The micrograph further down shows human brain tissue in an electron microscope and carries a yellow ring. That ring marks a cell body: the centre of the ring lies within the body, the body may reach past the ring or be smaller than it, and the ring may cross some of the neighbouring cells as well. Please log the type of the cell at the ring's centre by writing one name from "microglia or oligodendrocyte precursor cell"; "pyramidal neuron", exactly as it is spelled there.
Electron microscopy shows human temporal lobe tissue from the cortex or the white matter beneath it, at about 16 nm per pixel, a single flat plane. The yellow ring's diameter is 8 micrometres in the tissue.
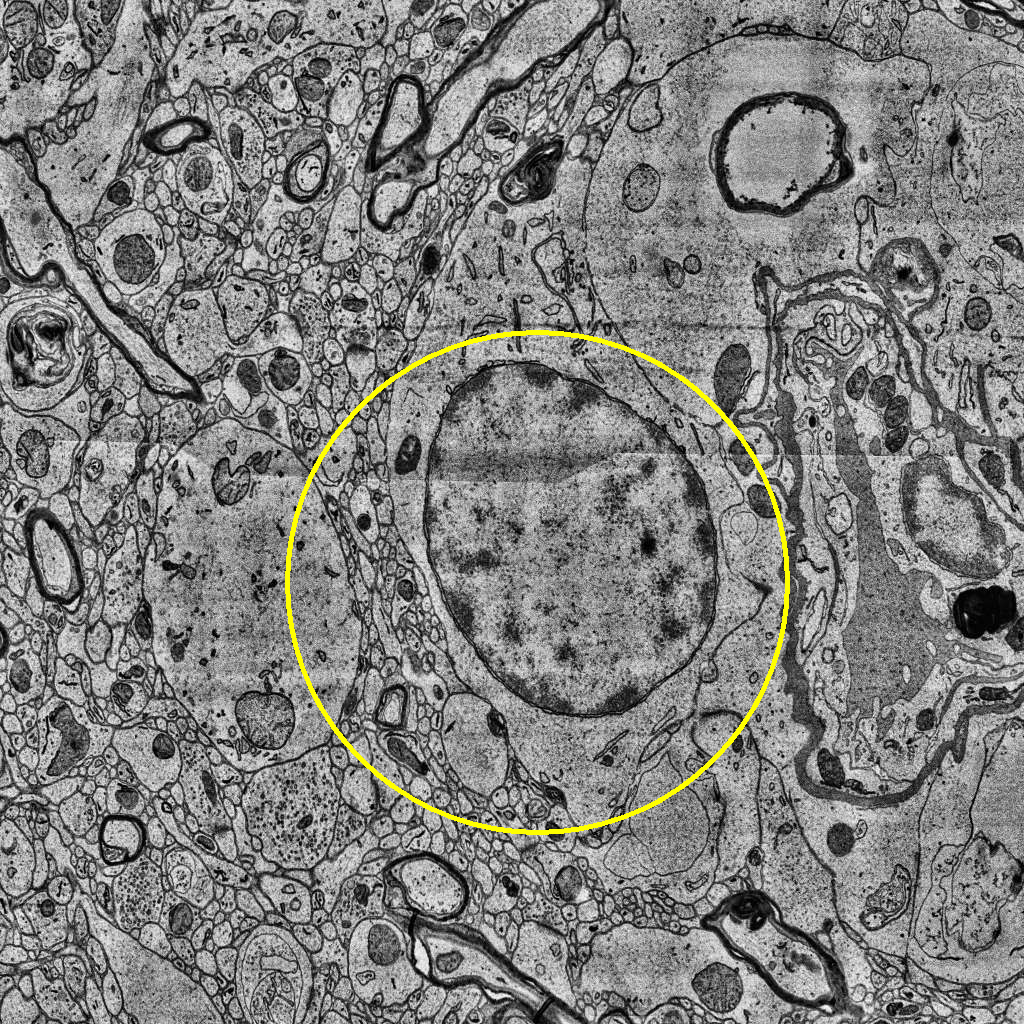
microglia or oligodendrocyte precursor cell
